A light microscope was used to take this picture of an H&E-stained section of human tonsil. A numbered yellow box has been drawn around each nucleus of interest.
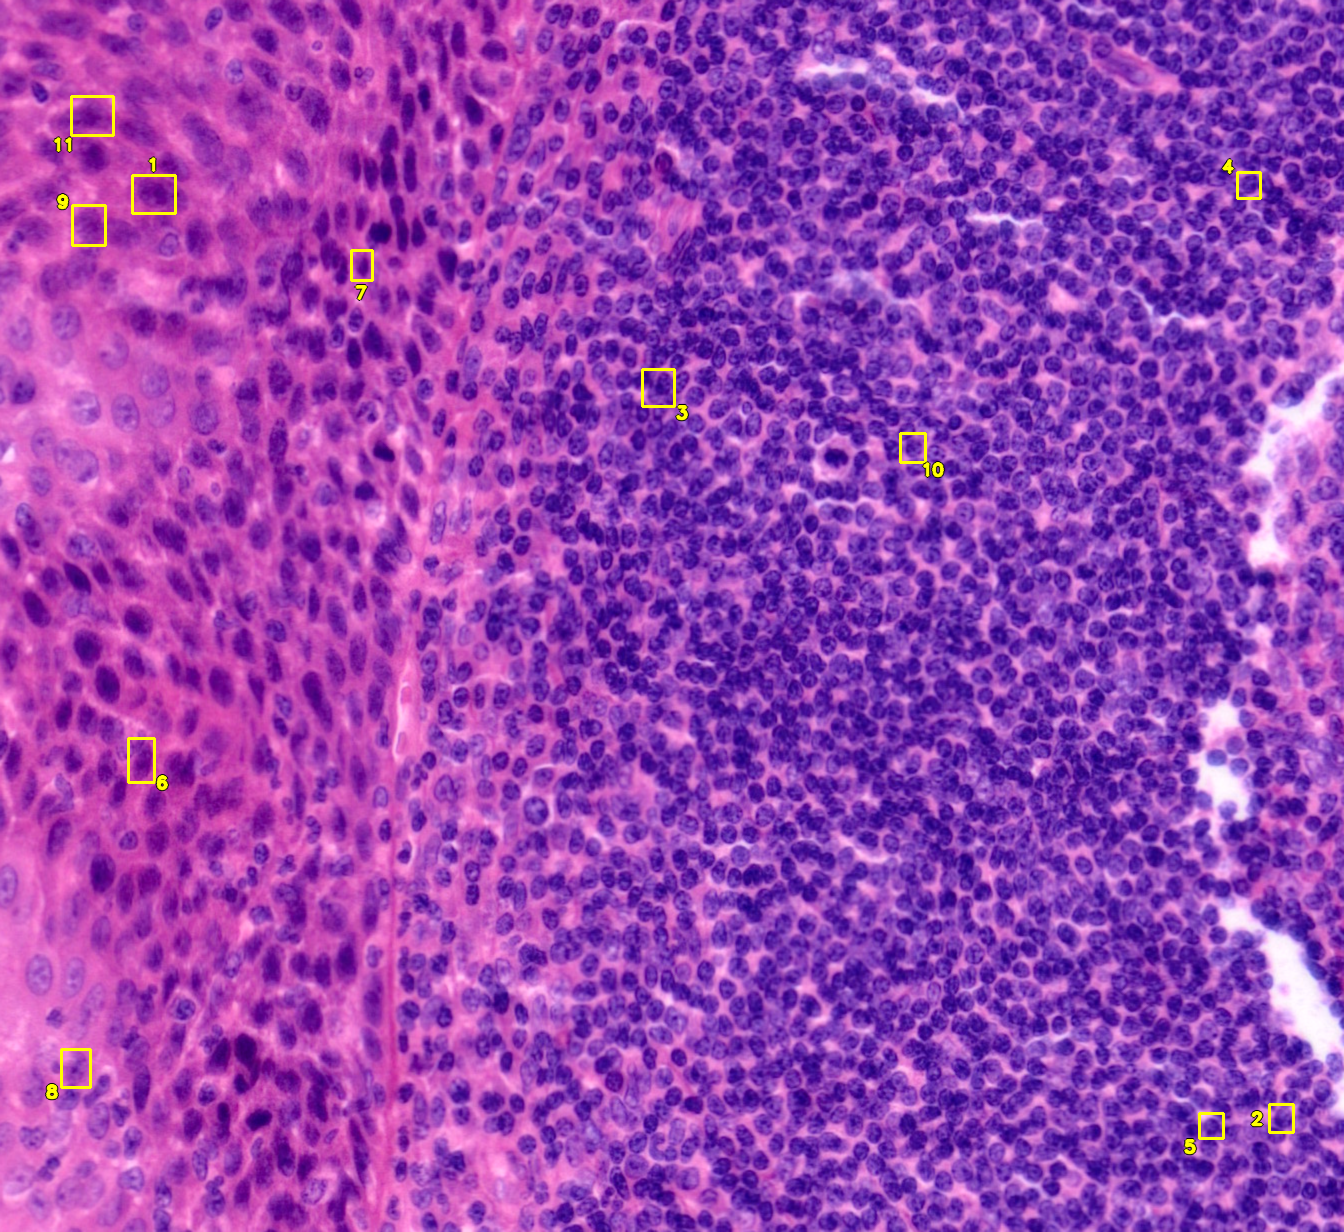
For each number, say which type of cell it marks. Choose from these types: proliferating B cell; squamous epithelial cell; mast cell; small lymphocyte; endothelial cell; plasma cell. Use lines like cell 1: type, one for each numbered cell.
cell 1: squamous epithelial cell
cell 2: small lymphocyte
cell 3: small lymphocyte
cell 4: small lymphocyte
cell 5: small lymphocyte
cell 6: squamous epithelial cell
cell 7: squamous epithelial cell
cell 8: squamous epithelial cell
cell 9: squamous epithelial cell
cell 10: small lymphocyte
cell 11: squamous epithelial cell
